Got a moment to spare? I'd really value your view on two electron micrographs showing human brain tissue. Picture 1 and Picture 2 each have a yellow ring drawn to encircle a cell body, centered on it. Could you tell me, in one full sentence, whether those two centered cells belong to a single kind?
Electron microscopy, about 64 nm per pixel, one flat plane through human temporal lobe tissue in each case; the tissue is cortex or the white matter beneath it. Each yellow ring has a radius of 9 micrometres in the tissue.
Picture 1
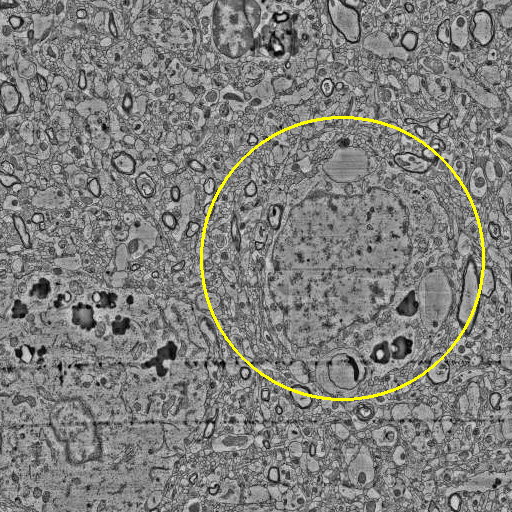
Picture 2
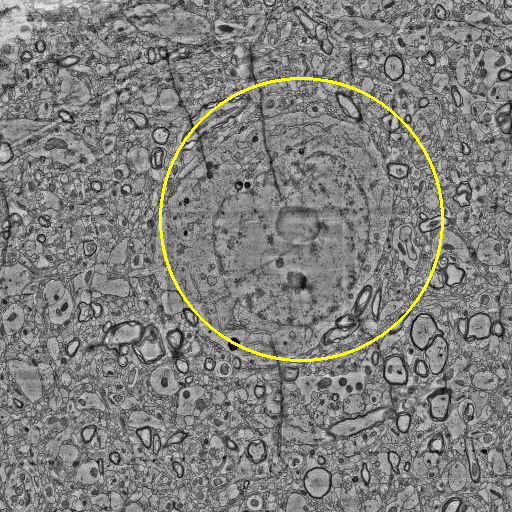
Yes, the two centered cells in Picture 1 and Picture 2 are of a single kind.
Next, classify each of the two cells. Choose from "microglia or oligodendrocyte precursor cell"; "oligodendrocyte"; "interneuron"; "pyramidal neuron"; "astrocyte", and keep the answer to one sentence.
Each cell, in the first picture and the second, is an interneuron.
